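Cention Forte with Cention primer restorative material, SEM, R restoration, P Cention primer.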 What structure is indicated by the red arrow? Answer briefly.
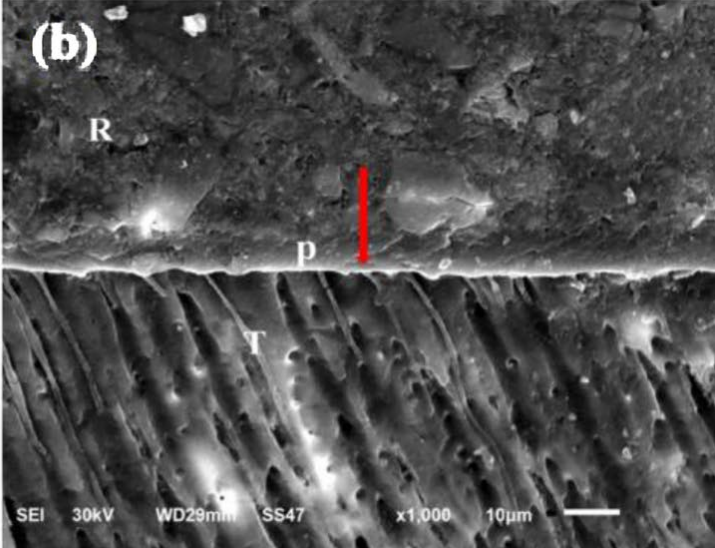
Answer: Hybrid like layer.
